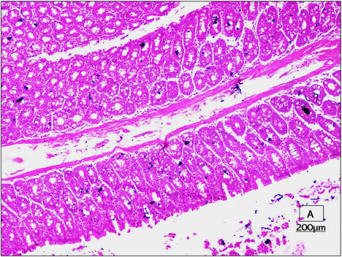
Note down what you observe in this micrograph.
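Colon wall with a mucosa of regular, closely packed tubular crypts cut in longitudinal and oblique section, stained pink and purple. The crypts are lined by columnar epithelium with many pale mucous goblet cells, and sit in a thin lamina propria.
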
